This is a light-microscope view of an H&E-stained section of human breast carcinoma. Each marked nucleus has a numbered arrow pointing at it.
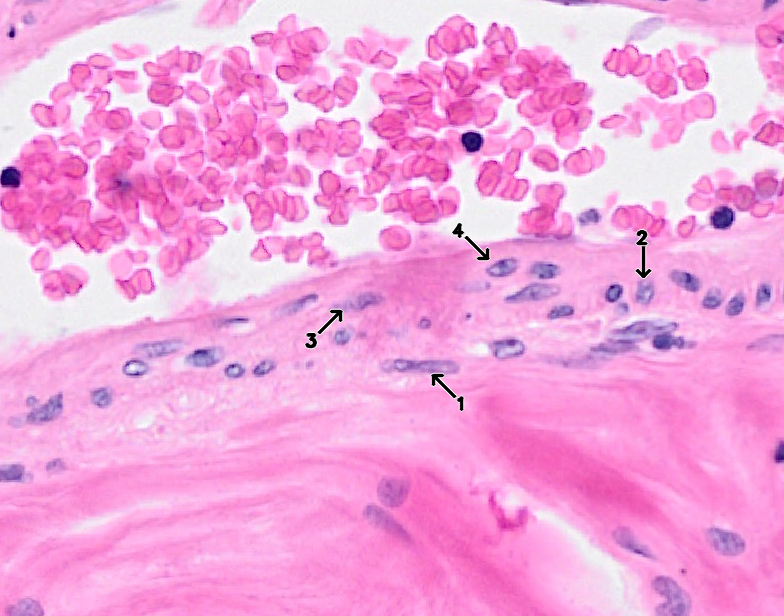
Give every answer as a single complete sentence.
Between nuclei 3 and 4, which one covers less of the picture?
The smaller nucleus is 4, and 3 covers roughly 1.5 times its area.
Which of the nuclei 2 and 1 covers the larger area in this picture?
At about 2.5 times the area of nucleus 2, nucleus 1 is the larger of the two.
